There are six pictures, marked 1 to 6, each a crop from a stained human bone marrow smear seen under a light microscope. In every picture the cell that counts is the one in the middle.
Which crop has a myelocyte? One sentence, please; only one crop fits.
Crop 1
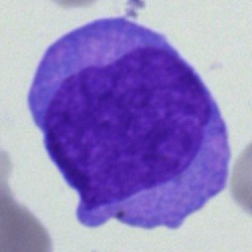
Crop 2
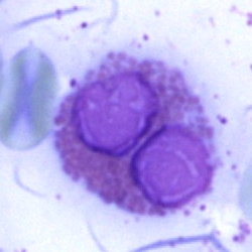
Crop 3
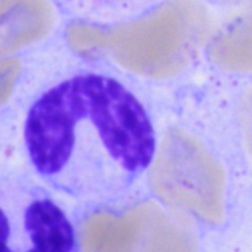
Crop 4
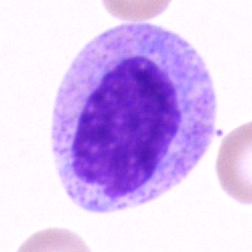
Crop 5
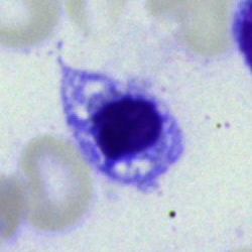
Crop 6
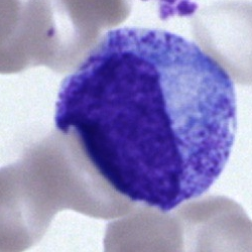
Of the crops shown, crop 4 depicts a myelocyte.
